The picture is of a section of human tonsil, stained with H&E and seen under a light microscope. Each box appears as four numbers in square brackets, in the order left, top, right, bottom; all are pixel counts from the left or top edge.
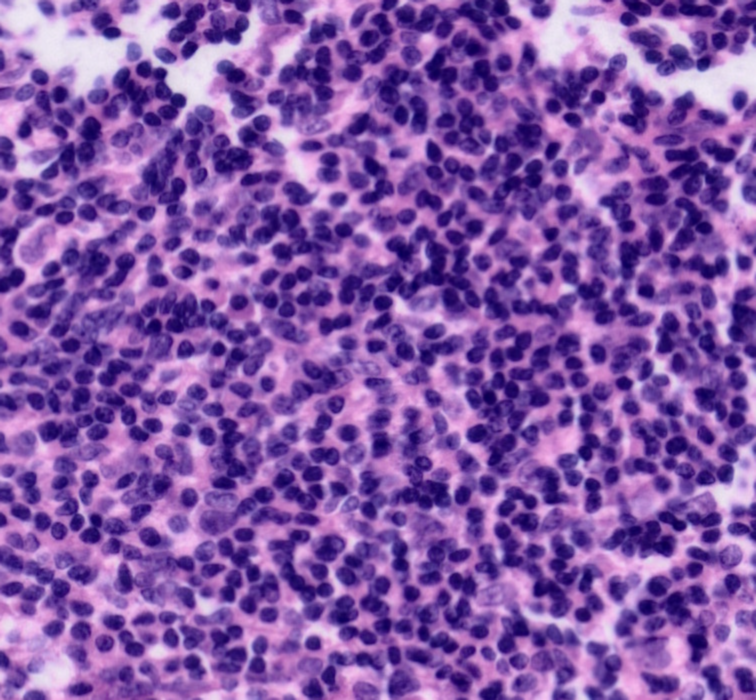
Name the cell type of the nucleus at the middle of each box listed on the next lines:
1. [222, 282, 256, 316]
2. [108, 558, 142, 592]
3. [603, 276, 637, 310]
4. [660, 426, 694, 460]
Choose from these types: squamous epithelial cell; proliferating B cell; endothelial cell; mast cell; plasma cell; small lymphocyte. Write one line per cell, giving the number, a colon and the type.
1: plasma cell
2: small lymphocyte
3: small lymphocyte
4: small lymphocyte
